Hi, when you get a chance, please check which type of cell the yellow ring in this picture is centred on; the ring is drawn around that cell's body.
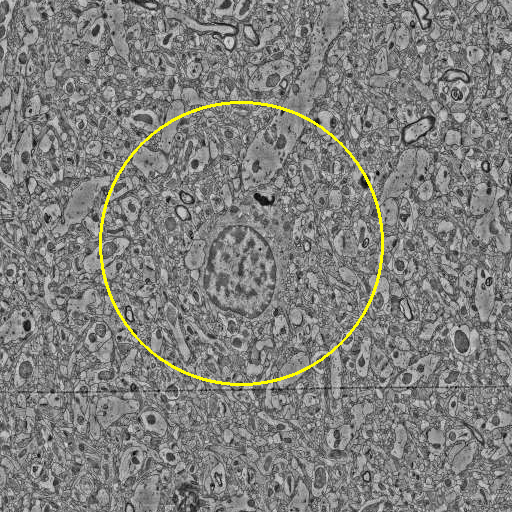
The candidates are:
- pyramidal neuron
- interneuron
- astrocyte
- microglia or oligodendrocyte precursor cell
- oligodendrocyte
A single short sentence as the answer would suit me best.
The ring is drawn around the body of an oligodendrocyte.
